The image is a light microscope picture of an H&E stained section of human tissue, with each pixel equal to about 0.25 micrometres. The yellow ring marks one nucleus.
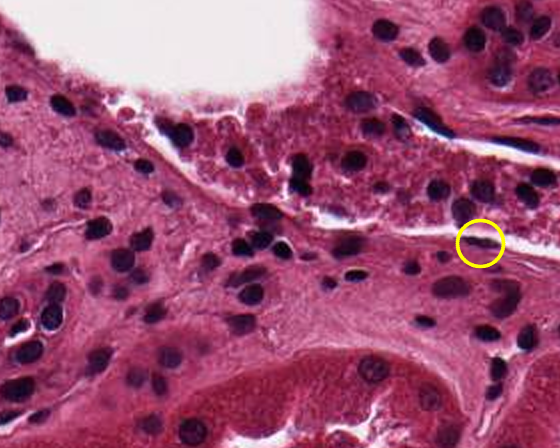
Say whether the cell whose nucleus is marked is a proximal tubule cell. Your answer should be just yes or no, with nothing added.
no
